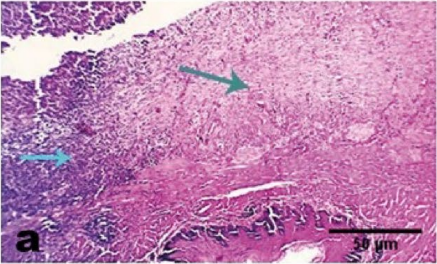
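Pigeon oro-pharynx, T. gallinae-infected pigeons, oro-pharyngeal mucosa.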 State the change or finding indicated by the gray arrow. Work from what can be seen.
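The arrow points to a broad pale pink, structureless area with few intact nuclei. This area borders a densely cellular purple zone.
Conclusion: necrosis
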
